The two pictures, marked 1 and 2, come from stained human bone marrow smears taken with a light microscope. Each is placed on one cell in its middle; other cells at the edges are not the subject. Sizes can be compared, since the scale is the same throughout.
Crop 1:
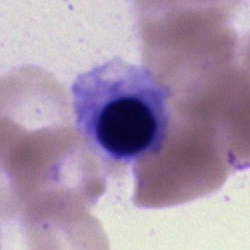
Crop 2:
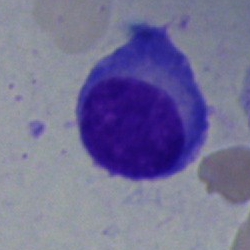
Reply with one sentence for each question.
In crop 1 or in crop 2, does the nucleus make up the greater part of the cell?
The nucleus fills more of the cell in crop 2 than in crop 1.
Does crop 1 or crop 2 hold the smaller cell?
Crop 1 holds the smaller cell, since the cell in crop 2 covers about 2 times as much area.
